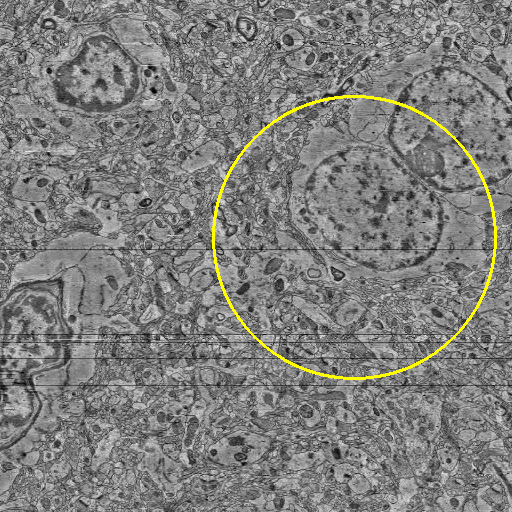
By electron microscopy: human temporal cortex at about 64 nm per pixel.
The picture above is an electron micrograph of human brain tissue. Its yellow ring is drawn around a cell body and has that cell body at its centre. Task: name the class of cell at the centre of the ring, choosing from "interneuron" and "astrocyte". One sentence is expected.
The ring surrounds the body of an astrocyte.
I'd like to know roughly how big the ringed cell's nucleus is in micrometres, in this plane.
In this plane, the nucleus is roughly 9 by 7 micrometres.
